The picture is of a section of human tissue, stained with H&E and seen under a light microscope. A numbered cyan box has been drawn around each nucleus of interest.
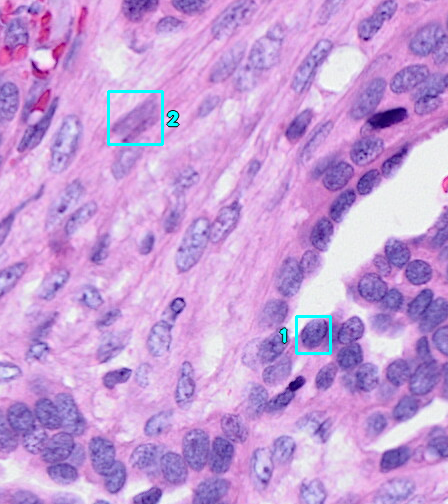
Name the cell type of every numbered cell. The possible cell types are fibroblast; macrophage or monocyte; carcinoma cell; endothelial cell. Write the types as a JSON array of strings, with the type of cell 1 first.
["carcinoma cell", "fibroblast"]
